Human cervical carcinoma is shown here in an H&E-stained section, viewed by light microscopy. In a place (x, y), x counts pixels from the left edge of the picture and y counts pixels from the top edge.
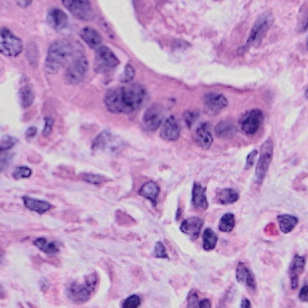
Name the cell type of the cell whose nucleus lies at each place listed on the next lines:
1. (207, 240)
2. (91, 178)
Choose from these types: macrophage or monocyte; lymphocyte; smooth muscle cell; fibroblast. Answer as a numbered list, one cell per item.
1. lymphocyte
2. fibroblast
